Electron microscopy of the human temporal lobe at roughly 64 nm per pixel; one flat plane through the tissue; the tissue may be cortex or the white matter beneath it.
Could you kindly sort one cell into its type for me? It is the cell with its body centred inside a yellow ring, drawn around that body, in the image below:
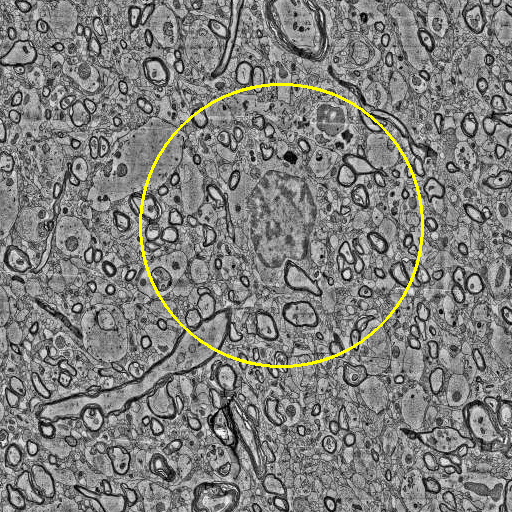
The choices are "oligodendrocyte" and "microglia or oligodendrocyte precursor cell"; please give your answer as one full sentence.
The cell whose body lies centred in the yellow ring here is an oligodendrocyte.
